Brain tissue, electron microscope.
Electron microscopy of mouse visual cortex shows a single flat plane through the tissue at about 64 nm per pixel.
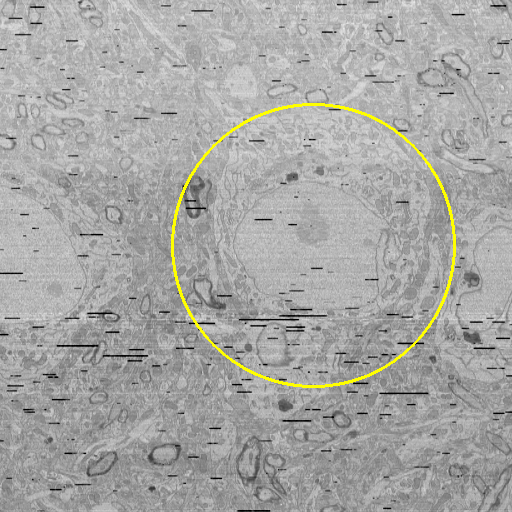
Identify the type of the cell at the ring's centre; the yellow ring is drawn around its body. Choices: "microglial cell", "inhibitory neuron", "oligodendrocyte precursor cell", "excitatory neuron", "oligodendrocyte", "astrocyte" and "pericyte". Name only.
inhibitory neuron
